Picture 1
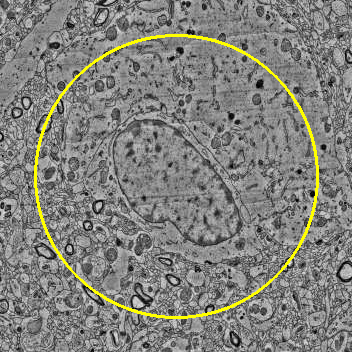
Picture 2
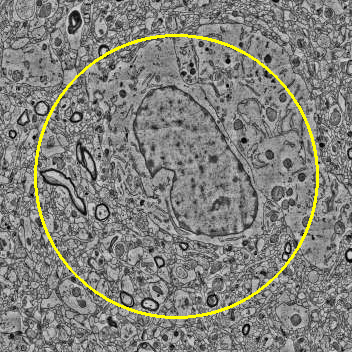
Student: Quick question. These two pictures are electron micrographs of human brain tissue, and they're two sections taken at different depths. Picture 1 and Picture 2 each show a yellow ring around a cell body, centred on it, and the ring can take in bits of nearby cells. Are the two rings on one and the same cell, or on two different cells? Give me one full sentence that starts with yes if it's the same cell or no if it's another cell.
Yes, one cell is ringed in yellow twice over.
